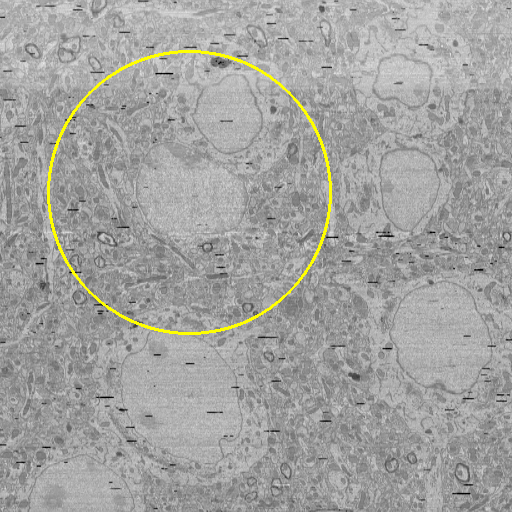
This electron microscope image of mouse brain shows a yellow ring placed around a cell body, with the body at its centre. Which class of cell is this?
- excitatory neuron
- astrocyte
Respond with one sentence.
The cell body at the ring's centre is an astrocyte.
